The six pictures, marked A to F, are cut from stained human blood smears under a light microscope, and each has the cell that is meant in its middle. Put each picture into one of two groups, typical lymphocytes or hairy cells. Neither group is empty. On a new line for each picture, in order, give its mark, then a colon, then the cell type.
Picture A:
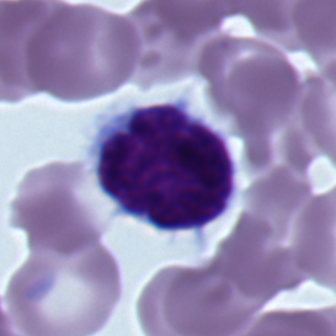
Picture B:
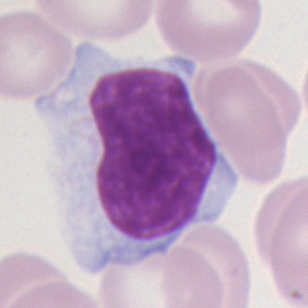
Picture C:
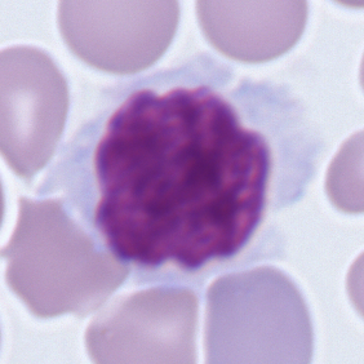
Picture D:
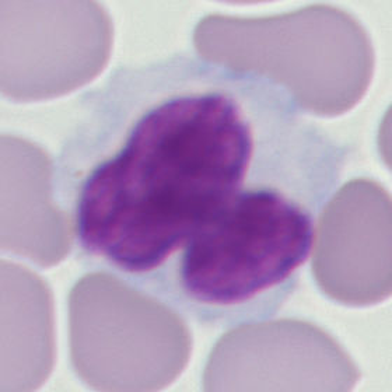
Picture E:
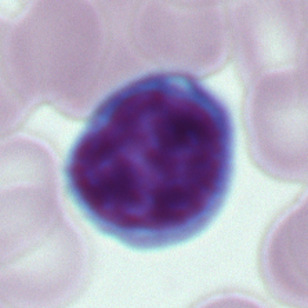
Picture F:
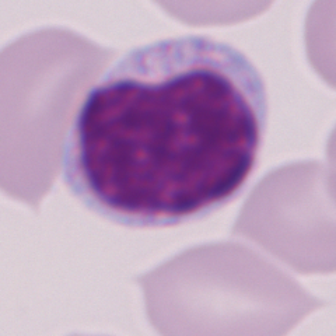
A: hairy cell
B: typical lymphocyte
C: hairy cell
D: hairy cell
E: typical lymphocyte
F: typical lymphocyte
